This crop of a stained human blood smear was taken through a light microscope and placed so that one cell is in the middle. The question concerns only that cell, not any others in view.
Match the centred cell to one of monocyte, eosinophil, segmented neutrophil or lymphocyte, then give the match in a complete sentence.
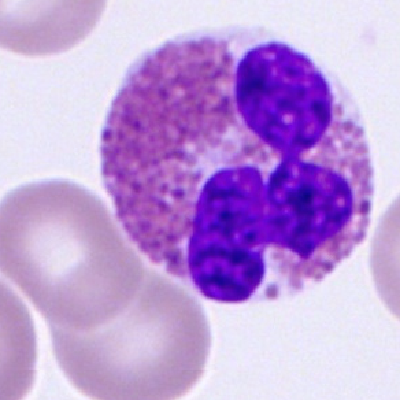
Positioned in the middle of the crop is an eosinophil.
